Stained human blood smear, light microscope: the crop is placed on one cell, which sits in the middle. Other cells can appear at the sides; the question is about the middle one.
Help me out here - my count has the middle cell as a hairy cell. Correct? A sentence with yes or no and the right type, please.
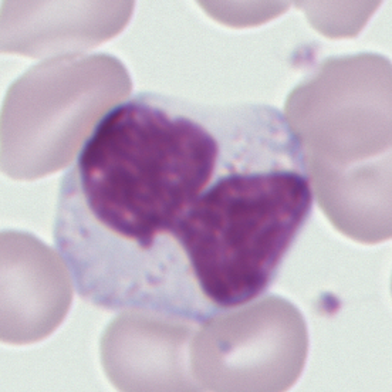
No, instead of a hairy cell, the centred cell represents a large granular lymphocyte.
